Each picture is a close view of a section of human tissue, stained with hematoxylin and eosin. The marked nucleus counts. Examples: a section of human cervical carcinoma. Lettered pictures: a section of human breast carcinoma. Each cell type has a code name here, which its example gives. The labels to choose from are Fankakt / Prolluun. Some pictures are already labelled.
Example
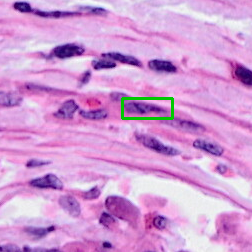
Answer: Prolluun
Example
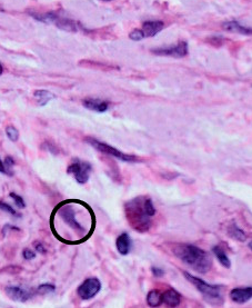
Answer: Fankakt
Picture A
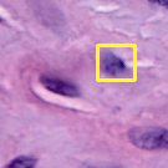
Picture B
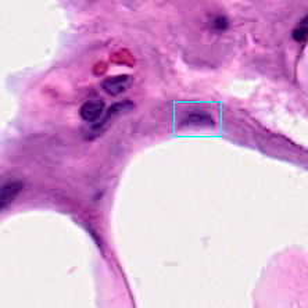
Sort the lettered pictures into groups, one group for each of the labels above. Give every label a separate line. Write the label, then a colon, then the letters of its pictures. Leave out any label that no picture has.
Fankakt: A, B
